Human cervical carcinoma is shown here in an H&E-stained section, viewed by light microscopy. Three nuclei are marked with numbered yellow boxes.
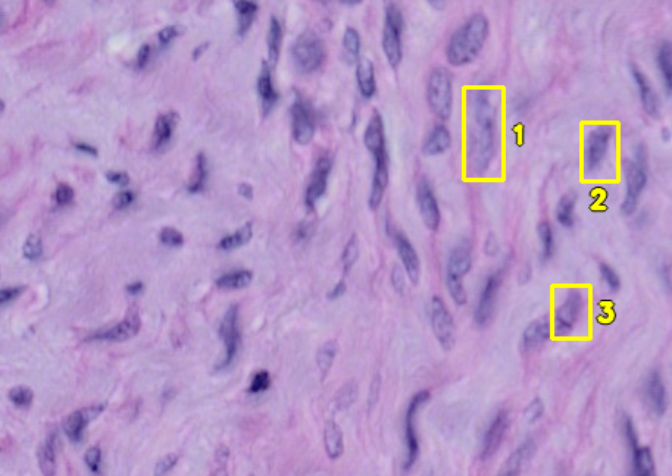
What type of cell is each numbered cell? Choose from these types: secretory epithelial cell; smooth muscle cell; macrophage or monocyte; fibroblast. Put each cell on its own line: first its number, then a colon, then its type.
1: smooth muscle cell
2: fibroblast
3: smooth muscle cell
